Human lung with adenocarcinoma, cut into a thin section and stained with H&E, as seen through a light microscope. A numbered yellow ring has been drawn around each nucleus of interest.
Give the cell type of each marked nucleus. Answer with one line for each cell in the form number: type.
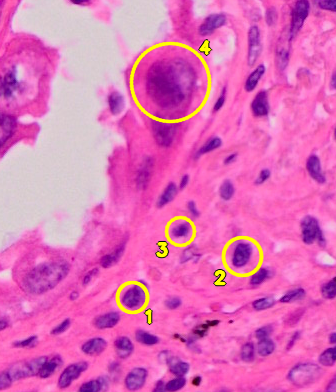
1: lymphocyte
2: lymphocyte
3: lymphocyte
4: carcinoma cell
